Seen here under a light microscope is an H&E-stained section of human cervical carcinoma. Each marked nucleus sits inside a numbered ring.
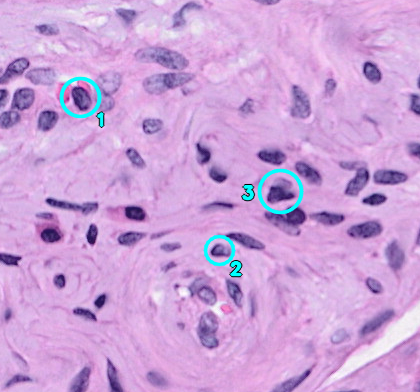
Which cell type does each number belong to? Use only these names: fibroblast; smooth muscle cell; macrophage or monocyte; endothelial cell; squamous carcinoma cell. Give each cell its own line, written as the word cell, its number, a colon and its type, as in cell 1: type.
cell 1: endothelial cell
cell 2: fibroblast
cell 3: fibroblast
